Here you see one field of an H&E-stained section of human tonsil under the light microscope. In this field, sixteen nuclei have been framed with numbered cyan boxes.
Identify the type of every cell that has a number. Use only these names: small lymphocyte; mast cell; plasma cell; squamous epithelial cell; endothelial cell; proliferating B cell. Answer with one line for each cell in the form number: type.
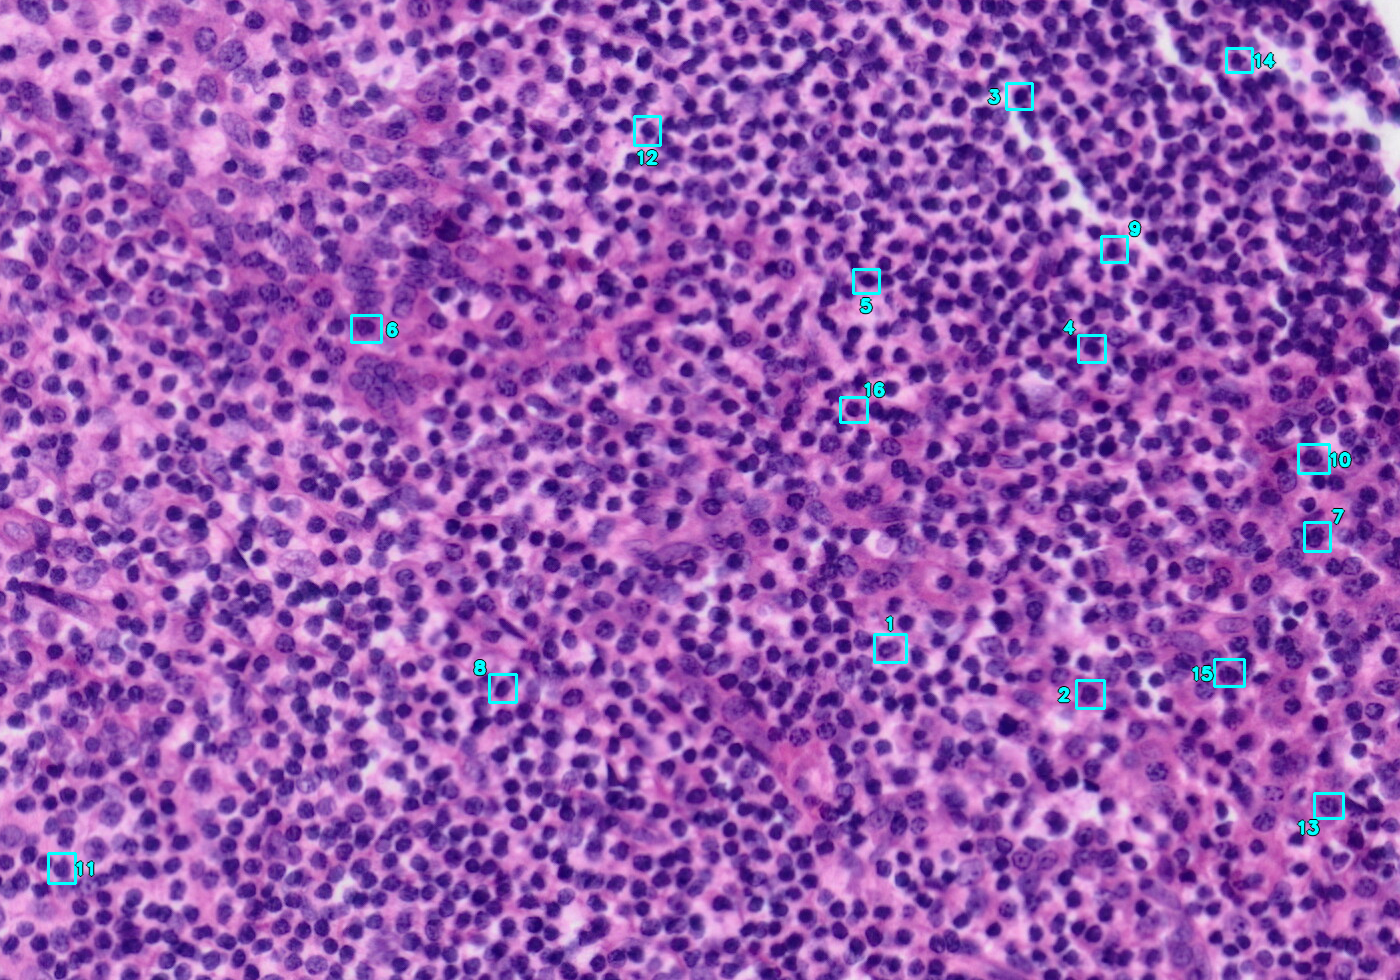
1: plasma cell
2: plasma cell
3: small lymphocyte
4: small lymphocyte
5: small lymphocyte
6: plasma cell
7: plasma cell
8: small lymphocyte
9: small lymphocyte
10: plasma cell
11: small lymphocyte
12: small lymphocyte
13: plasma cell
14: small lymphocyte
15: plasma cell
16: small lymphocyte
